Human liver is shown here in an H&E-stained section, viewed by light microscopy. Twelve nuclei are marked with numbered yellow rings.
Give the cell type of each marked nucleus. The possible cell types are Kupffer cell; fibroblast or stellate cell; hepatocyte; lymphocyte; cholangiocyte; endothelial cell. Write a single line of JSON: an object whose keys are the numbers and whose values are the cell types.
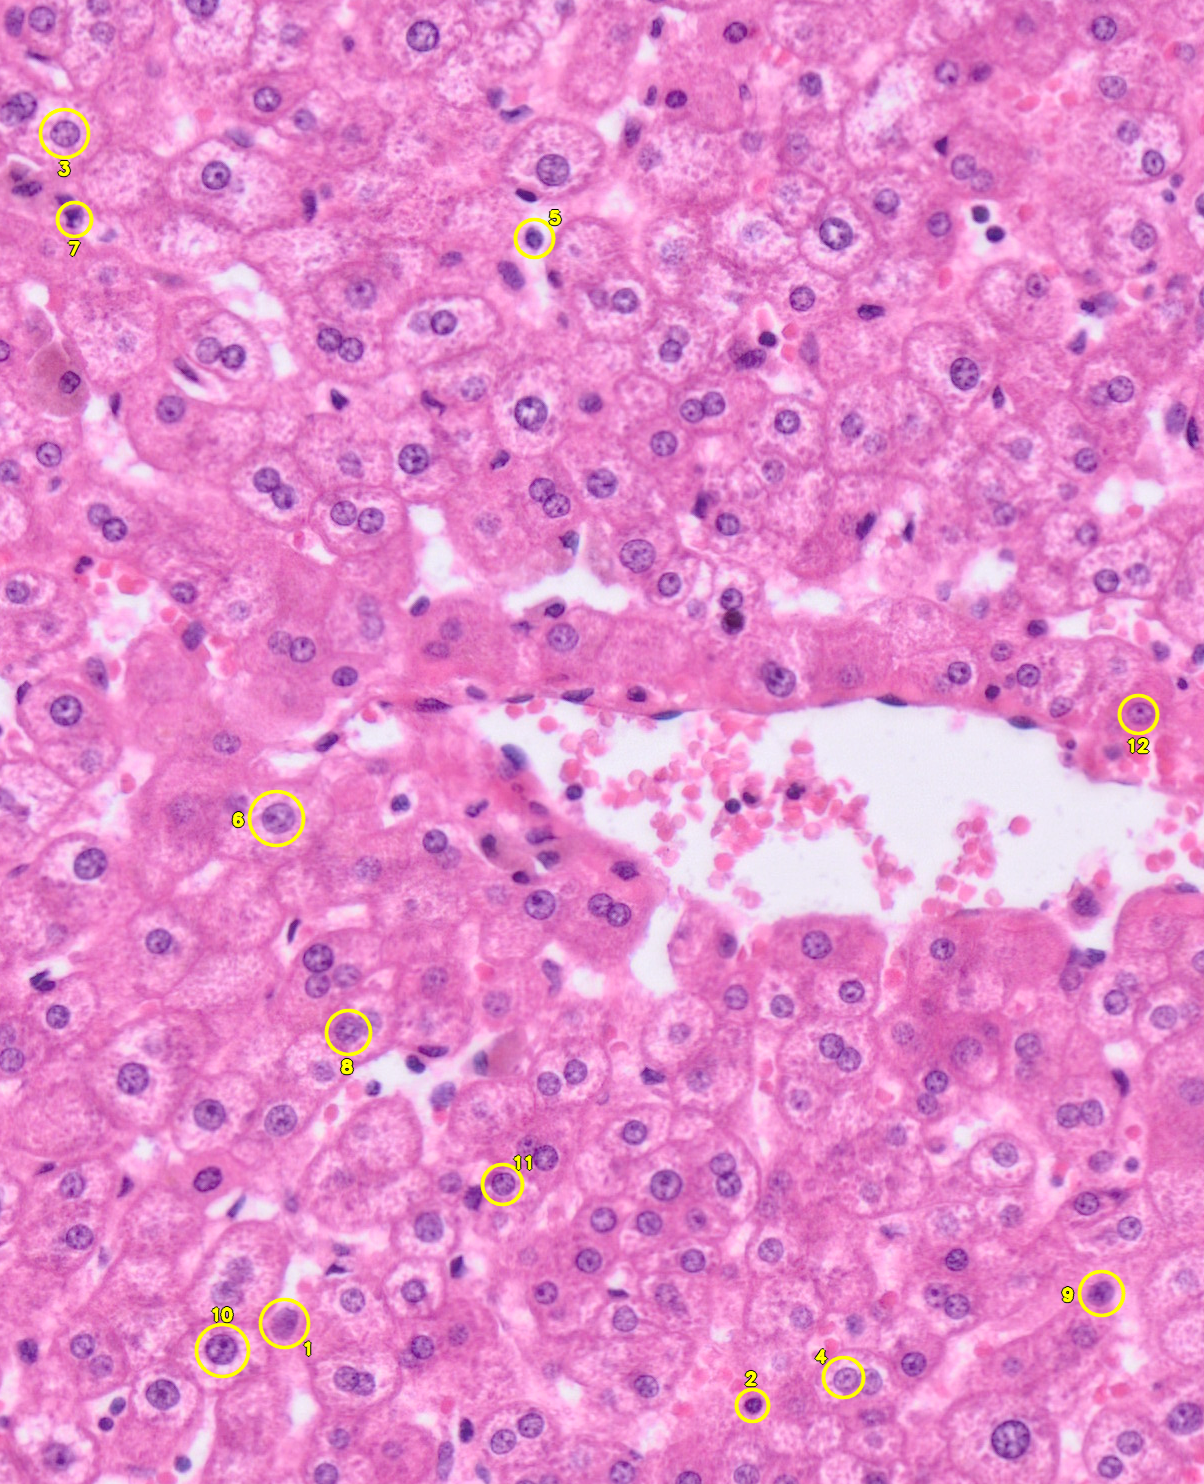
{"1": "endothelial cell", "2": "lymphocyte", "3": "hepatocyte", "4": "hepatocyte", "5": "lymphocyte", "6": "hepatocyte", "7": "fibroblast or stellate cell", "8": "hepatocyte", "9": "endothelial cell", "10": "hepatocyte", "11": "hepatocyte", "12": "hepatocyte"}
